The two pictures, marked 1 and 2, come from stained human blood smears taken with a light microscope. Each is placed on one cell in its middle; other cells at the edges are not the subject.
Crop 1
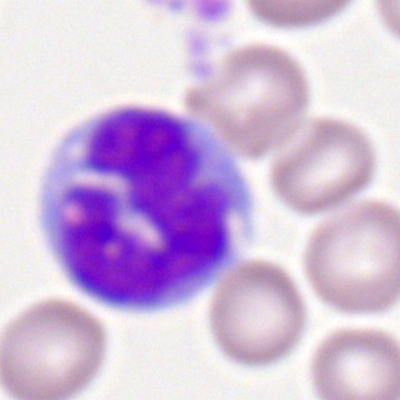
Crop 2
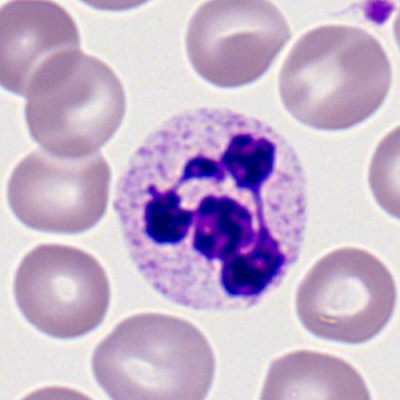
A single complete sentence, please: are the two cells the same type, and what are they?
No, crop 1 shows a monocyte, whereas in crop 2 the cell is a neutrophil.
